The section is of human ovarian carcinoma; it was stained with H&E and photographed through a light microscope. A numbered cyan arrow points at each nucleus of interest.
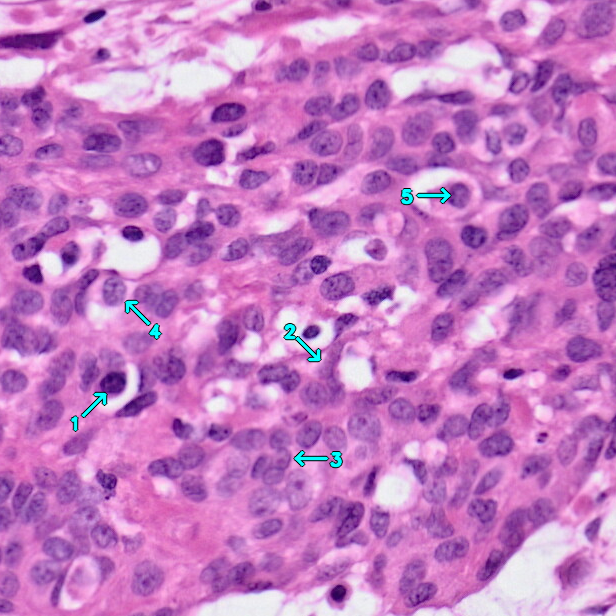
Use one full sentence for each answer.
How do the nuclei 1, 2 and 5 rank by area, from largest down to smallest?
By area, largest first, they run 1, 5, 2.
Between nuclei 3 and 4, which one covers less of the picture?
Nucleus 3 is the smaller one; nucleus 4 covers about 2.5 times its area.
